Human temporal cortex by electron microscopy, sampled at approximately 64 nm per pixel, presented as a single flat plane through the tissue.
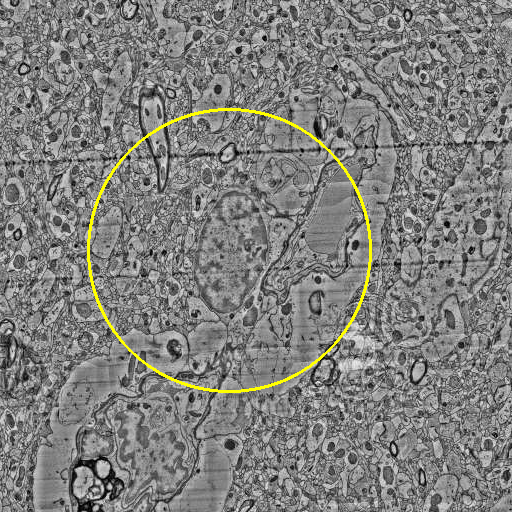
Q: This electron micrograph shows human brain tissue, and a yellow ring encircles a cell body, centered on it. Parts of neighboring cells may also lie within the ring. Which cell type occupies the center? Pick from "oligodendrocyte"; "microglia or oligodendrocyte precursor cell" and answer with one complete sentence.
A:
What sits at the ring's center in this micrograph is an oligodendrocyte, among those choices.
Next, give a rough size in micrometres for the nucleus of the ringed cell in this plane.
Approximately 8 micrometres long and 5 micrometres wide, so clearly longer than it is wide in this plane.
